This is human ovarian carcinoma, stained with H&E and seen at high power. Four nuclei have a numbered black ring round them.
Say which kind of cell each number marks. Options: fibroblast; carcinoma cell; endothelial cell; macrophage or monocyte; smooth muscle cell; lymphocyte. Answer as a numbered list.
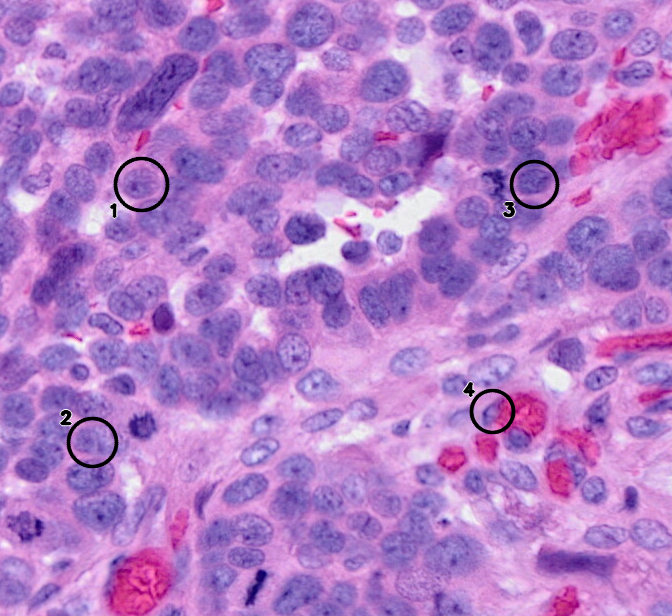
1. carcinoma cell
2. carcinoma cell
3. carcinoma cell
4. endothelial cell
